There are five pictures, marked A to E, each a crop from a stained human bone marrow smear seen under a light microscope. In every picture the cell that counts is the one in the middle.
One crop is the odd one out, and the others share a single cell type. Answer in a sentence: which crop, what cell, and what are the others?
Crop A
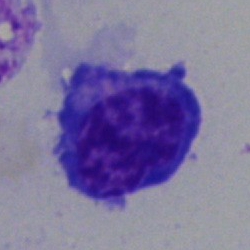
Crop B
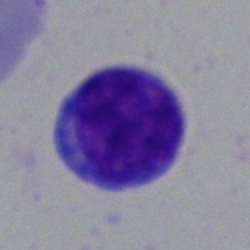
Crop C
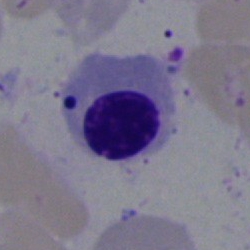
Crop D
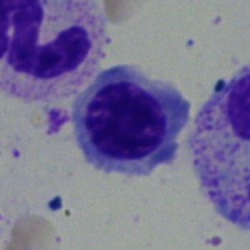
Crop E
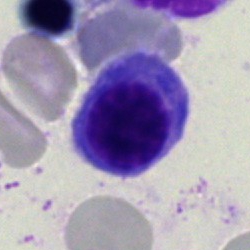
A different cell type, a blast, occupies crop B; the other crops show erythroblasts.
